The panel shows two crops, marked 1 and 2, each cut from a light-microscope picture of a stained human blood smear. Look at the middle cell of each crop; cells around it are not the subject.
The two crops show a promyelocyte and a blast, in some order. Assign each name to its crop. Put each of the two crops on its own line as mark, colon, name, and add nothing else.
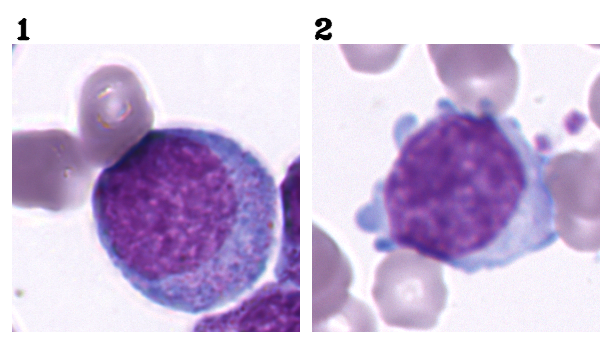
1: promyelocyte
2: blast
